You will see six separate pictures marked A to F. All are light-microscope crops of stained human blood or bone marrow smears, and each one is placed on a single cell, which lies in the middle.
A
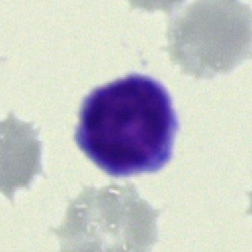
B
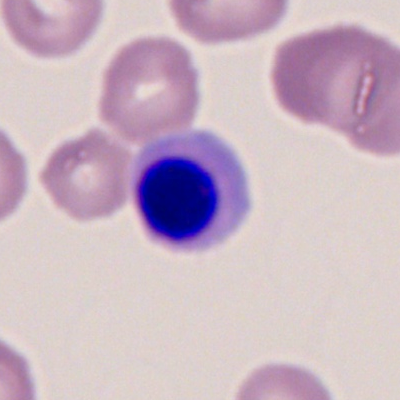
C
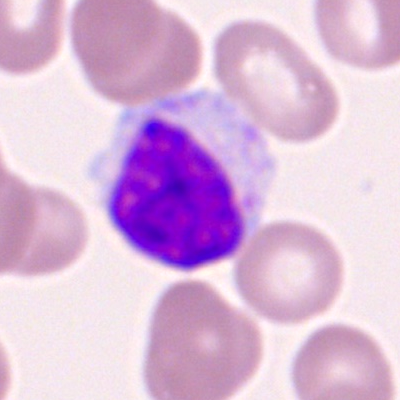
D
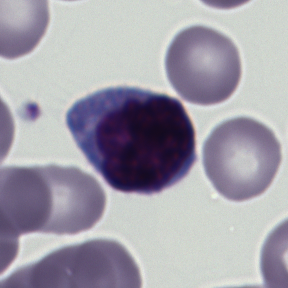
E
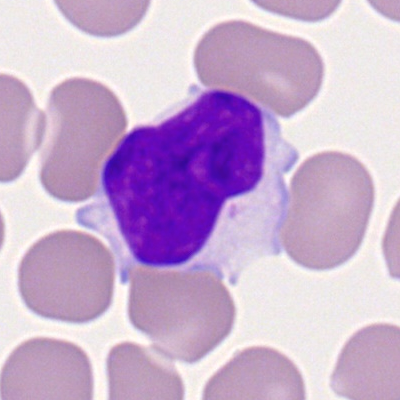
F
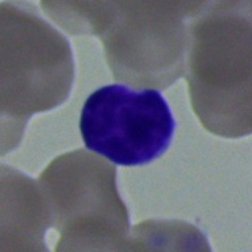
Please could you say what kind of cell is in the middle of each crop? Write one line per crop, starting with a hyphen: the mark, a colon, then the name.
- A: lymphocyte
- B: erythroblast
- C: lymphocyte
- D: lymphocyte
- E: lymphocyte
- F: lymphocyte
